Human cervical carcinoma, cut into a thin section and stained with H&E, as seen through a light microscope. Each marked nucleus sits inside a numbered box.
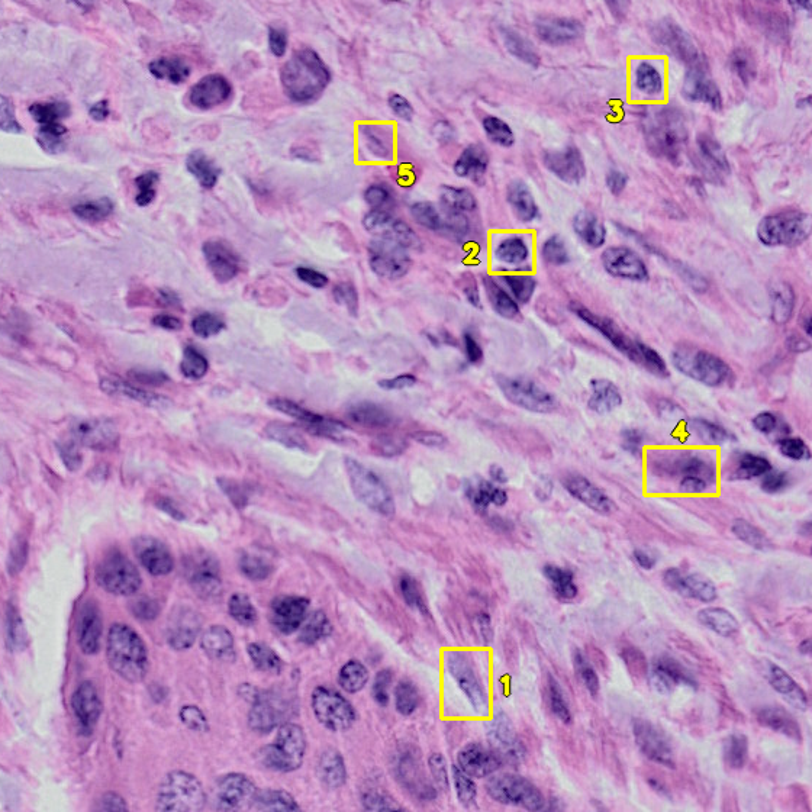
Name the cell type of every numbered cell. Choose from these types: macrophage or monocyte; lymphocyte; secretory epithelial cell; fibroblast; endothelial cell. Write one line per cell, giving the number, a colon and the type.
1: fibroblast
2: lymphocyte
3: lymphocyte
4: macrophage or monocyte
5: endothelial cell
